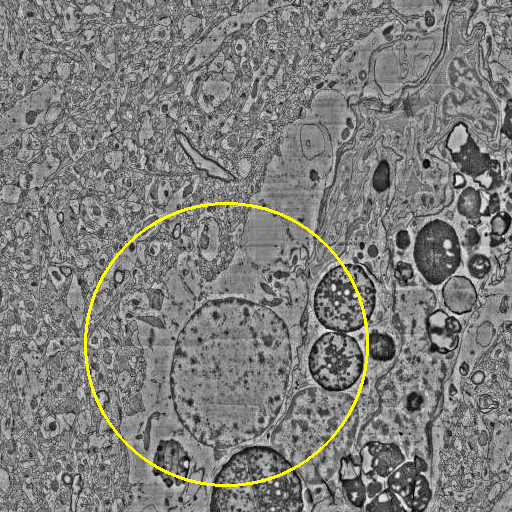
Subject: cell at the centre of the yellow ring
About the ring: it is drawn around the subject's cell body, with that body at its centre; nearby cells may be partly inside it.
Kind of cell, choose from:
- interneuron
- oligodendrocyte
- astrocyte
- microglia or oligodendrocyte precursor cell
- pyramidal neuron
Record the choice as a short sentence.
The subject cell is an astrocyte.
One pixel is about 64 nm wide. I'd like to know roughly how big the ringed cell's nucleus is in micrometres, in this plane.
Roughly 10 by 7 micrometres is the size of the nucleus in this plane.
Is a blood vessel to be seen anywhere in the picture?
Yes, the image shows a blood vessel.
